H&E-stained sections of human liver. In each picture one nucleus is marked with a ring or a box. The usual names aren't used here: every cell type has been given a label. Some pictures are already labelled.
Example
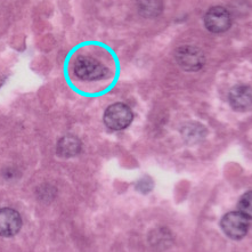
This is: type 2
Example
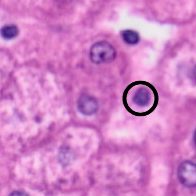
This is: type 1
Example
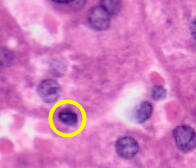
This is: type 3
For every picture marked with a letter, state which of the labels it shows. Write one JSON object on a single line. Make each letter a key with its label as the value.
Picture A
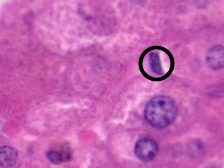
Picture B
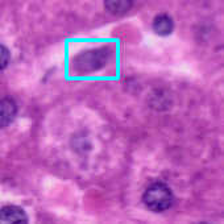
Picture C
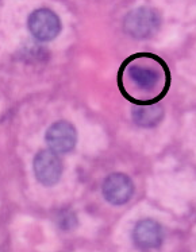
{"A": "type 3", "B": "type 2", "C": "type 3"}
